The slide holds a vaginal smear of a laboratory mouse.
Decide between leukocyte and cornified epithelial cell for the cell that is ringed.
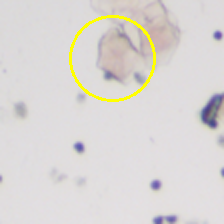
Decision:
I take the ringed cell for a cornified epithelial cell.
